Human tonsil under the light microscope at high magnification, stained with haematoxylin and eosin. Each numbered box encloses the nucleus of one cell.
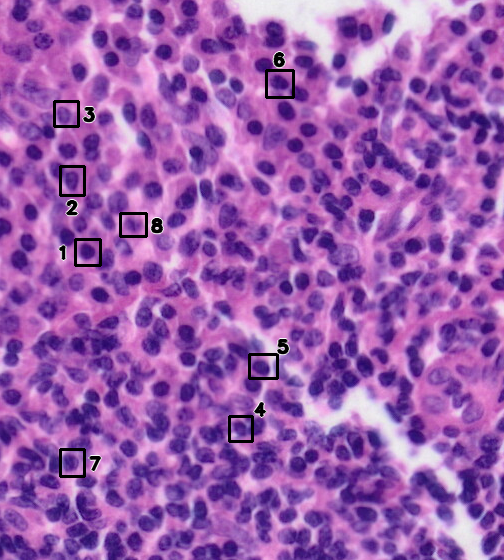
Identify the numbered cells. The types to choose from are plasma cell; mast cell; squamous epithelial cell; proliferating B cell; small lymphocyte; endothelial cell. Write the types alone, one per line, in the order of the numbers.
plasma cell
plasma cell
plasma cell
small lymphocyte
small lymphocyte
plasma cell
small lymphocyte
plasma cell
